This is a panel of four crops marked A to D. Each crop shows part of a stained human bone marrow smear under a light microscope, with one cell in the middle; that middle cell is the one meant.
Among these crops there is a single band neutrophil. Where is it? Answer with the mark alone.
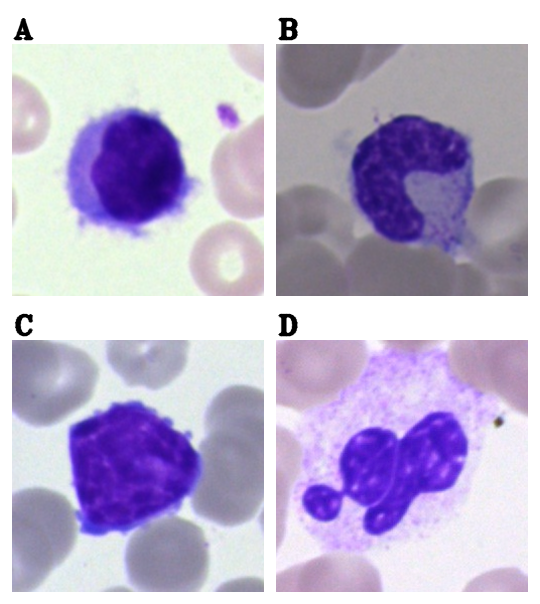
B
